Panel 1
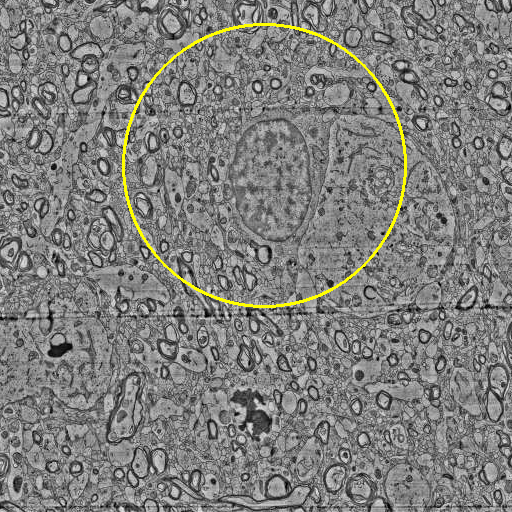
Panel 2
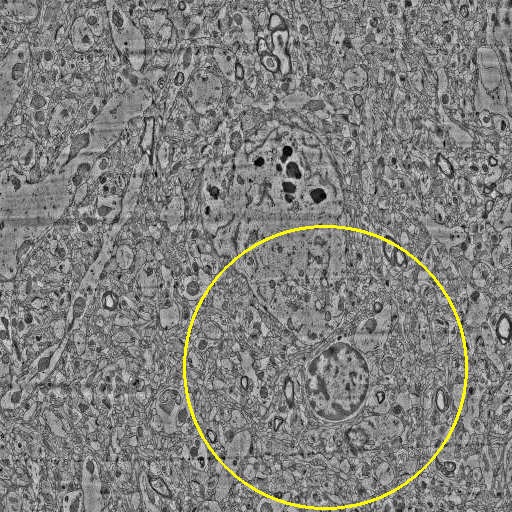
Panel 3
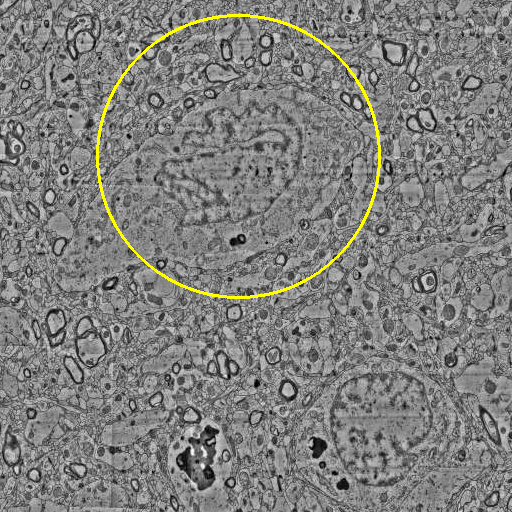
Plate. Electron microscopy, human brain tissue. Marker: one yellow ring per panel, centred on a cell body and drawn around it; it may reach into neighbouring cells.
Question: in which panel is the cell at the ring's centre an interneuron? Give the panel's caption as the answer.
Panel 3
